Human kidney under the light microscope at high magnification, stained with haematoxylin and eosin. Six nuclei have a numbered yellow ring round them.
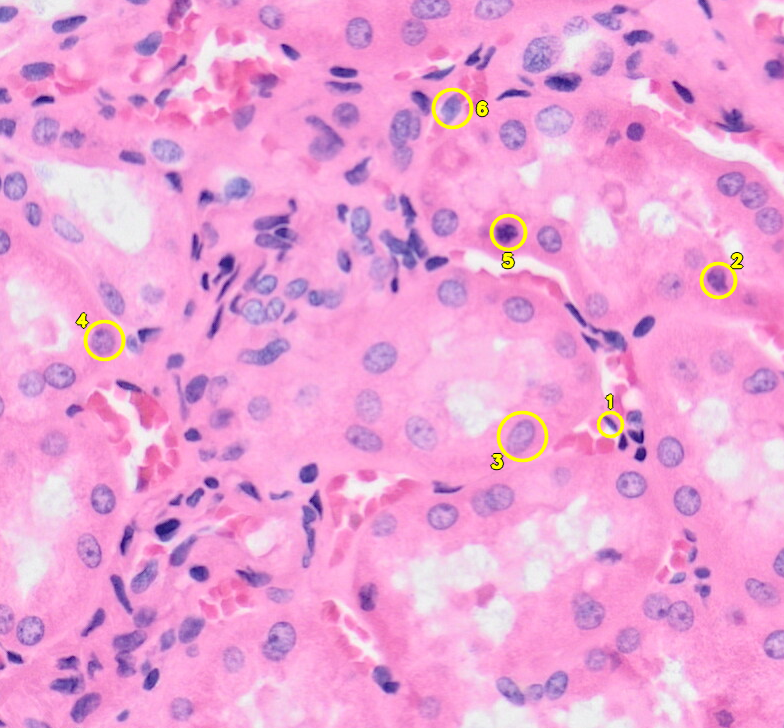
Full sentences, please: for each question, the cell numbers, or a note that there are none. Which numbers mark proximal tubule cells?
The cells numbered 2, 3, 4 and 5 are of one kind: proximal tubule cells.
